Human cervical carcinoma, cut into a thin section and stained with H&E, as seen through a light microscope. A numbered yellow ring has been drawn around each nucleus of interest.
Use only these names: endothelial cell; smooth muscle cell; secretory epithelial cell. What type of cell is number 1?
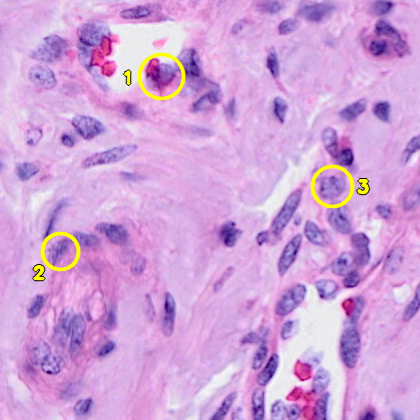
endothelial cell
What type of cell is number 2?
smooth muscle cell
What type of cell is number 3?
endothelial cell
